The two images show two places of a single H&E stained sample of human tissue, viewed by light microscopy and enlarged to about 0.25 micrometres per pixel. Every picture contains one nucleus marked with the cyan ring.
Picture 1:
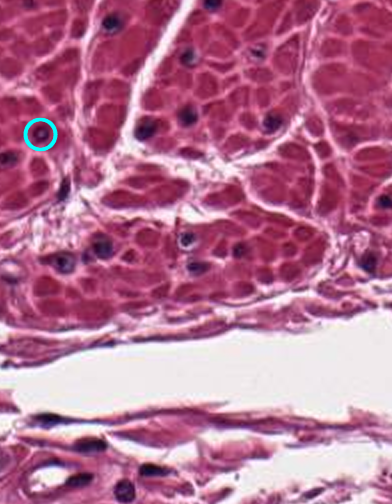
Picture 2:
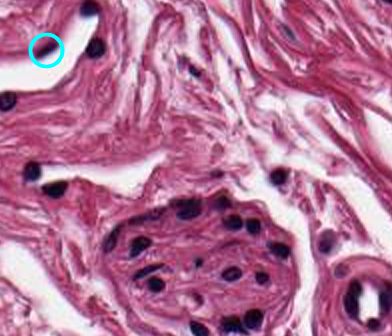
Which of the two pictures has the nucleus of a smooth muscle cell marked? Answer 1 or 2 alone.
1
